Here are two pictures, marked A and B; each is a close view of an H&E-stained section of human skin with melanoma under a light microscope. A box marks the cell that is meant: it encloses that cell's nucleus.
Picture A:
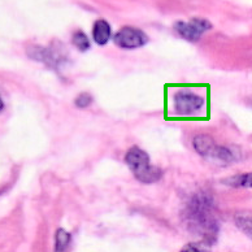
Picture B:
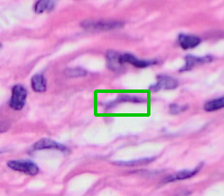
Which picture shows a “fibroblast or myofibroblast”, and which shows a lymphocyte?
A: lymphocyte
B: fibroblast or myofibroblast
